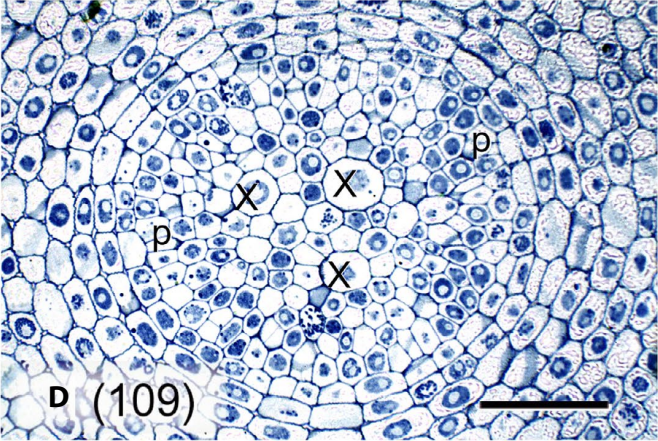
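A transverse section through a central cylinder, in which three large, pale, rounded metaxylem vessels stand out among smaller central cells. The central cylinder is bounded by a ring of small pericycle cells. Outside it, concentric rows of larger cells with dark blue nuclei run out to the edge of the section.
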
